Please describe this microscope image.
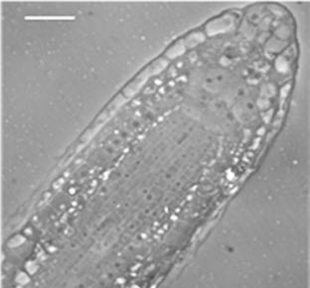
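A longitudinal section of a root tip in which the meristem is seen as parallel rows of small cells running along the organ's axis. Larger, rounded cells cover the tip and line the outer edge, and small dark dots mark many of the inner cells.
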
